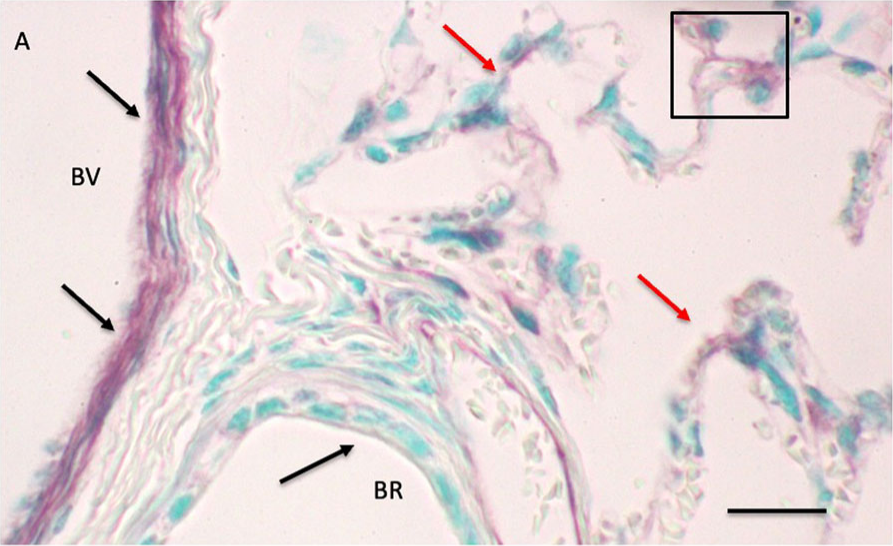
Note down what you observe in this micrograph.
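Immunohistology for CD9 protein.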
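This is lung tissue showing a large blood vessel at the left, a bronchiole at the bottom and thin alveolar septa on the right. The inner lining of the blood vessel is stained a deep purple-magenta above a wavy, layered wall. The bronchiole is lined by a row of epithelial cells with blue-green nuclei that lack the purple colour. The alveolar septa are thin walls between wide air spaces, carrying scattered blue-green nuclei and a faint purple rim. Pale red blood cells lie in the loose tissue between the structures.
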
